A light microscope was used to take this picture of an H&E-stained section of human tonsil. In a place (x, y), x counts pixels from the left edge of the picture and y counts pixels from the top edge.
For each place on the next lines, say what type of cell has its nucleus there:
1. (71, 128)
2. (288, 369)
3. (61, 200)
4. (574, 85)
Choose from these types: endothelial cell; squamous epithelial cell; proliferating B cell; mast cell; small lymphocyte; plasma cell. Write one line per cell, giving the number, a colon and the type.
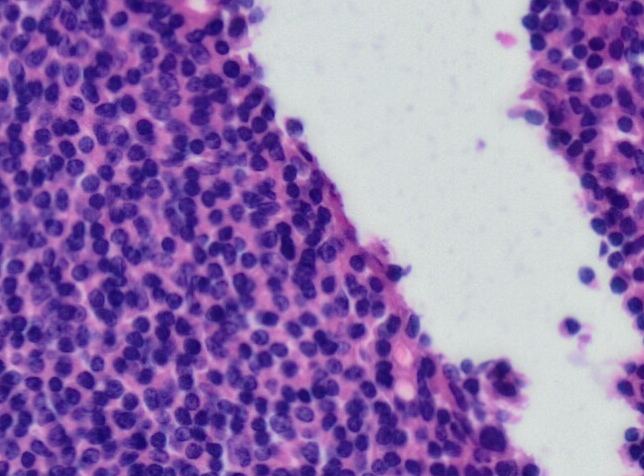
1: small lymphocyte
2: small lymphocyte
3: small lymphocyte
4: plasma cell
